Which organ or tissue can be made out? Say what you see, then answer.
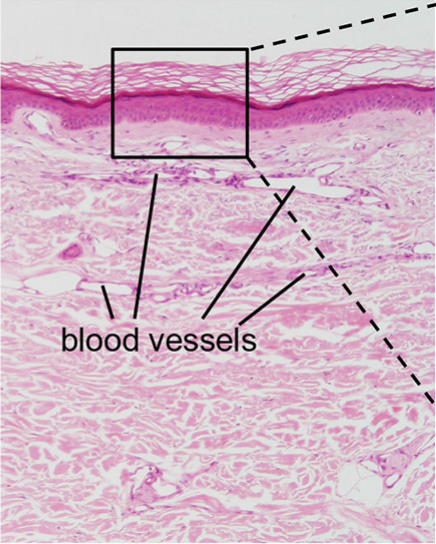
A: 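Skin. A thin, darkly stained stratified epithelium lies on the surface, with loose flaky layers above it. A thick, pale pink connective tissue of interwoven fibre bundles lies beneath the epithelium. Small vessel lumina lie in the connective tissue.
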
